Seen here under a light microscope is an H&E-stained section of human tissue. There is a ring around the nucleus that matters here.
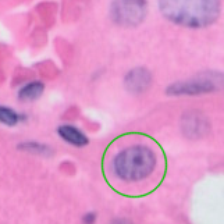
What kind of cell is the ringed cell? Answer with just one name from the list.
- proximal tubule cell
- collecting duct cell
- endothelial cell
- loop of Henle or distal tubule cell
proximal tubule cell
